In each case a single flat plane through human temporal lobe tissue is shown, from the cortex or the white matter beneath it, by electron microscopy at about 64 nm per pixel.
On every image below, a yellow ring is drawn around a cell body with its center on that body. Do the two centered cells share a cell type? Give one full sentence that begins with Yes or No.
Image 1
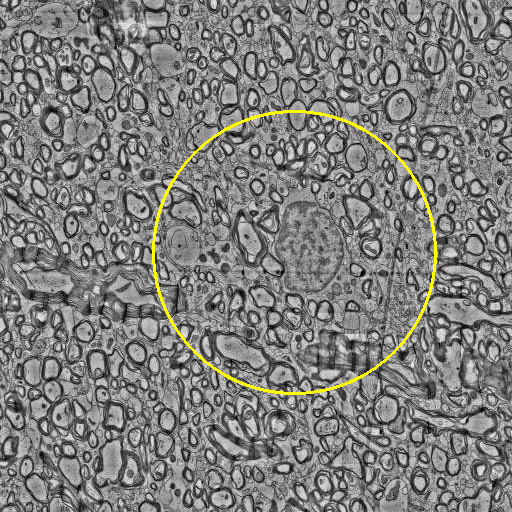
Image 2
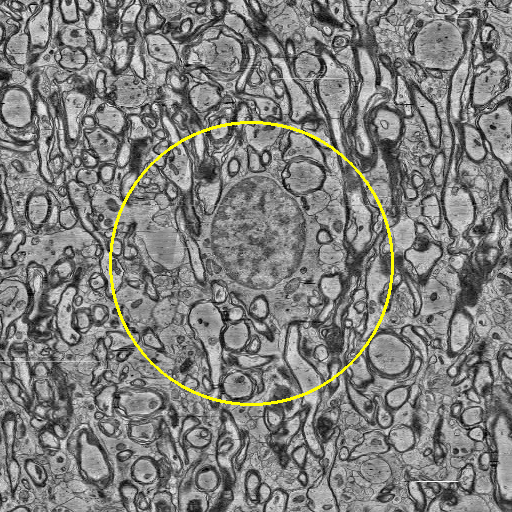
Yes, the centered cells in the two images are of a single cell type.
